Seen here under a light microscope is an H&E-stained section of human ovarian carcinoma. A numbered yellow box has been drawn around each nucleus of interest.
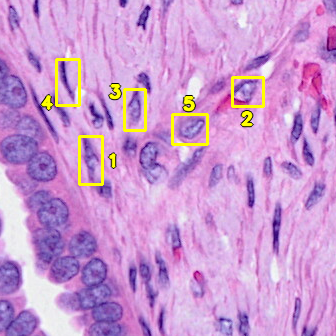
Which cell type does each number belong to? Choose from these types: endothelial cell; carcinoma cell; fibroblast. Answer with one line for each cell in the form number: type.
1: fibroblast
2: endothelial cell
3: fibroblast
4: fibroblast
5: endothelial cell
